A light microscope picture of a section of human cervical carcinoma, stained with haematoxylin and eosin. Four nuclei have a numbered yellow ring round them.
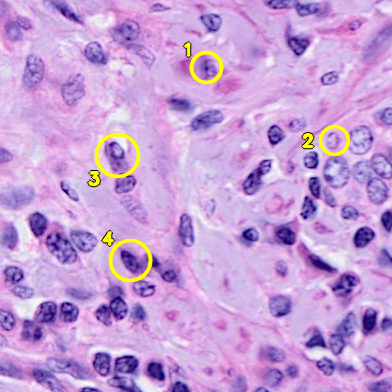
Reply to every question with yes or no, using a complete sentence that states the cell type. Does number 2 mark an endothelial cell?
Yes, as for number 2, the cell is an endothelial cell.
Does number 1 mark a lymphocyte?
No, the right label for cell 1 is a smooth muscle cell rather than a lymphocyte.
